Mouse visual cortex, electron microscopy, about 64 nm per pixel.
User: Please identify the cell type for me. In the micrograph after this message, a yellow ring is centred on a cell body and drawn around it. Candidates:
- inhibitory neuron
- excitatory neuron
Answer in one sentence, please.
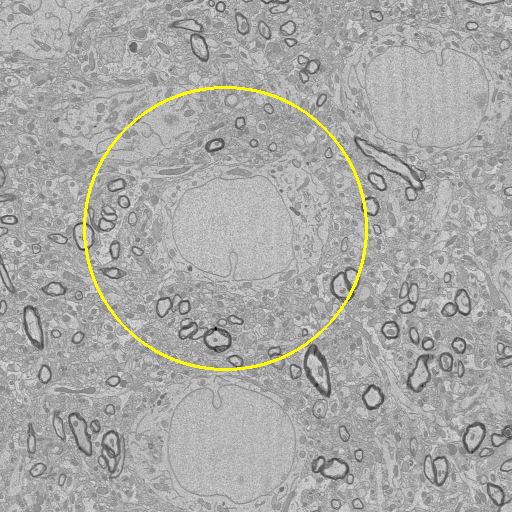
The ring is drawn around the cell body of an excitatory neuron.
